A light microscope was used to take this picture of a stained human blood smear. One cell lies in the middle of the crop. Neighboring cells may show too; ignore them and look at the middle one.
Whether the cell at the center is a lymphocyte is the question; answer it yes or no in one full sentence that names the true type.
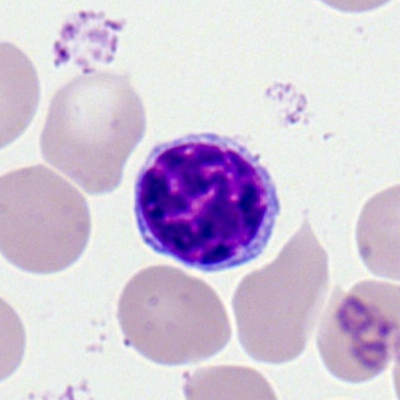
Yes, in the centre of this field sits a lymphocyte.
